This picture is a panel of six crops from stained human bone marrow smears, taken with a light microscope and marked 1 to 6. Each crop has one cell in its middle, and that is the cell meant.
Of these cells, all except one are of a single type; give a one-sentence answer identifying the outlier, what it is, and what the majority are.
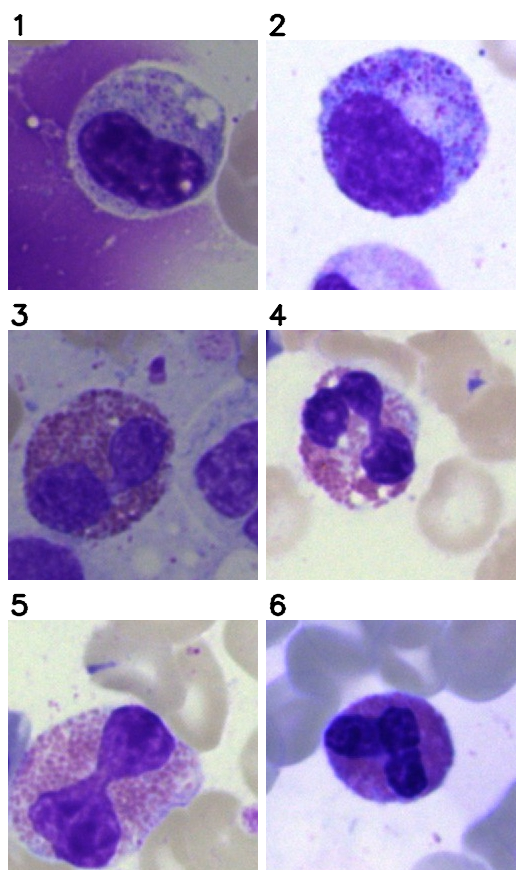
For this set, crop 2 is a myelocyte, and all the rest are eosinophils.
